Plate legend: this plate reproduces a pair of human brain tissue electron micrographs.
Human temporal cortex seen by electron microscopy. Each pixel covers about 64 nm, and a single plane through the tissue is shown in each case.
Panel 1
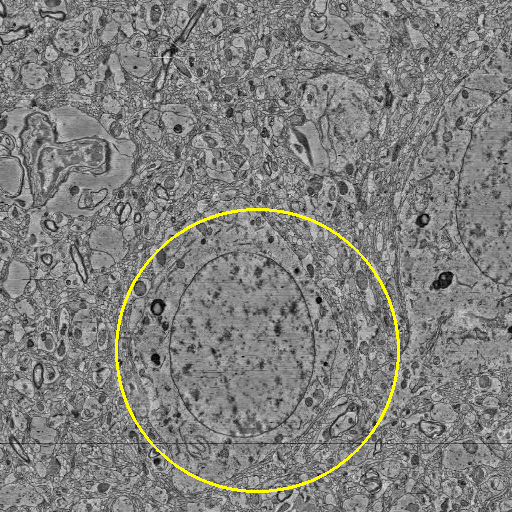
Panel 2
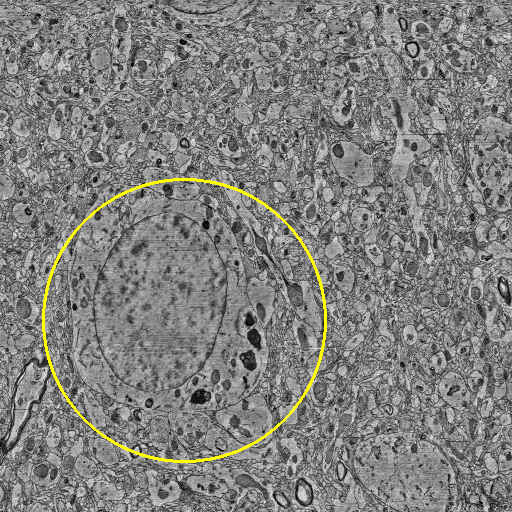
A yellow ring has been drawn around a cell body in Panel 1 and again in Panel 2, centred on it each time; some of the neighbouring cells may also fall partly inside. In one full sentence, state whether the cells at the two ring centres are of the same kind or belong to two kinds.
The ring-centred cells of Panel 1 and Panel 2 are of the same kind.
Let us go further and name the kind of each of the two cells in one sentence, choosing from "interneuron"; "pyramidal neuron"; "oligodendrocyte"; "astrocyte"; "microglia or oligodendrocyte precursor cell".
Each one of the two ringed cells is a pyramidal neuron.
